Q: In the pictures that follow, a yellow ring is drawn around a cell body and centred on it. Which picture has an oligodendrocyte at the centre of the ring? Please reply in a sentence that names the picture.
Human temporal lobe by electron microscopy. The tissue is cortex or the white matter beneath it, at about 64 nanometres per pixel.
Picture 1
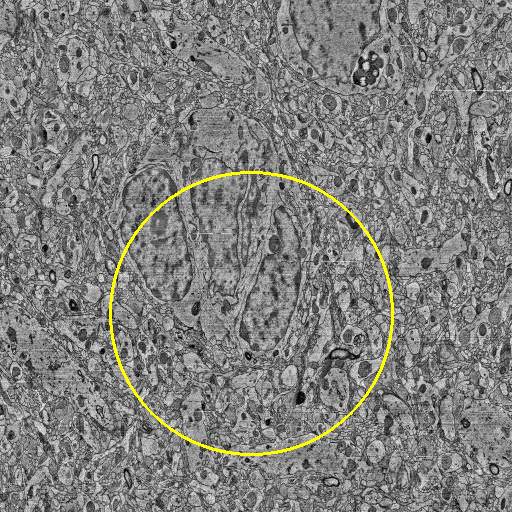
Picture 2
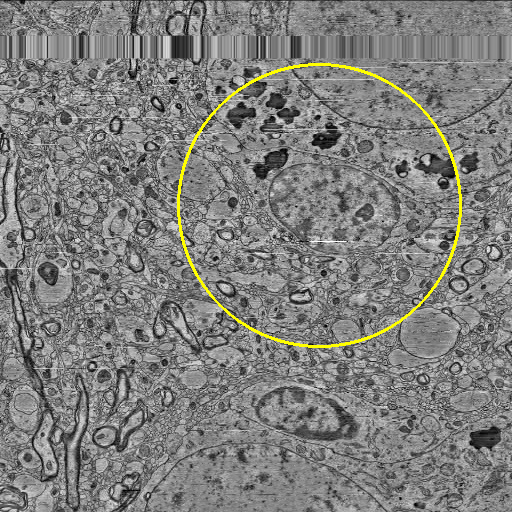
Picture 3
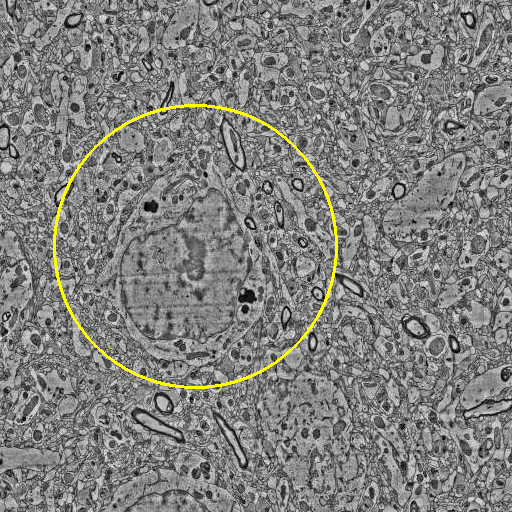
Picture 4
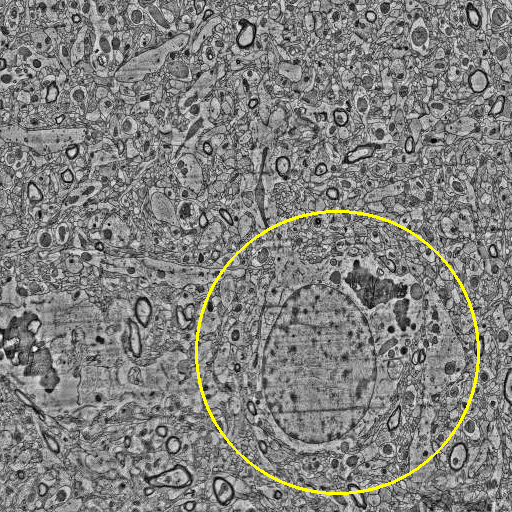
Picture 2 shows it at the centre of its ring.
